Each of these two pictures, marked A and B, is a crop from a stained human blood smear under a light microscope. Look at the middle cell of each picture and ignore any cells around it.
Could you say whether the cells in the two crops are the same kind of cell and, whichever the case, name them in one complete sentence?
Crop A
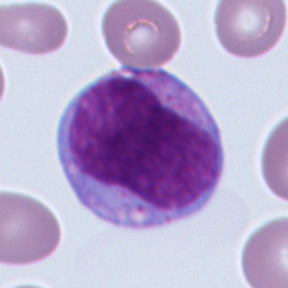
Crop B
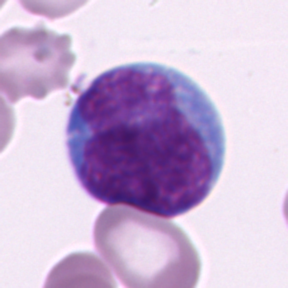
No, the assignment should read crop A, an atypical promyelocyte; crop B, a myeloblast.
